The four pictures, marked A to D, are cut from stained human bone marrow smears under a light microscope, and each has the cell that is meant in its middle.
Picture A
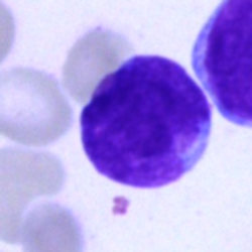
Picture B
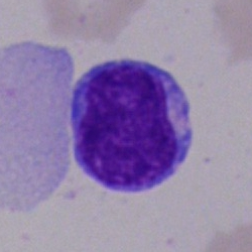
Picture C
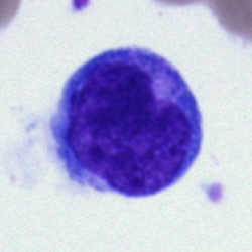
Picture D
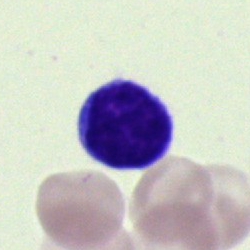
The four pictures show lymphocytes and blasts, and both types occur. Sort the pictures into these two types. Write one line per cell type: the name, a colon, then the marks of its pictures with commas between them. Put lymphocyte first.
lymphocyte: D
blast: A, B, C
